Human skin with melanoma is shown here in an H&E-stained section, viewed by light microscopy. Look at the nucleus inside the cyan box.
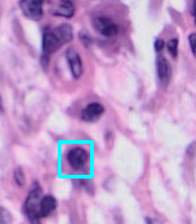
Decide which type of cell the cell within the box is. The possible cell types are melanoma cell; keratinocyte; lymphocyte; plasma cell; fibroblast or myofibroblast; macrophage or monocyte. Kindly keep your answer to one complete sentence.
The cell type of the cell within the box is that of a plasma cell.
